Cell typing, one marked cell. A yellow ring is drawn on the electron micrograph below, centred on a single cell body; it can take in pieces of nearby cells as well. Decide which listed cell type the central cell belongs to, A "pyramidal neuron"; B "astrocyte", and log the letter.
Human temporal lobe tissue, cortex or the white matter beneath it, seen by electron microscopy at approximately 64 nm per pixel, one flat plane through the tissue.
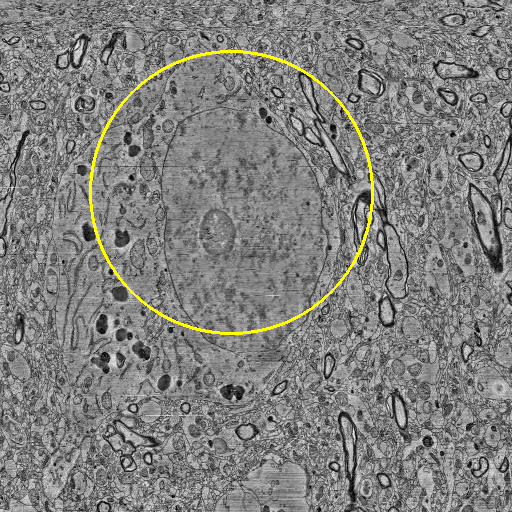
A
